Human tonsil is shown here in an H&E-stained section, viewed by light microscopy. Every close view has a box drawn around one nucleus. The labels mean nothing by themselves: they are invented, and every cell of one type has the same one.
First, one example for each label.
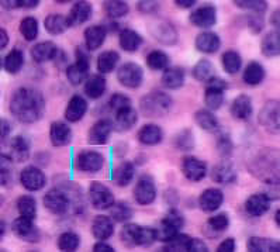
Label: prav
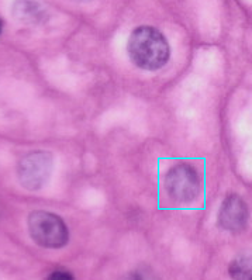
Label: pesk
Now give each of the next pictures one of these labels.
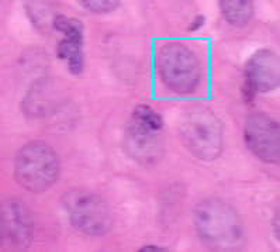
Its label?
pesk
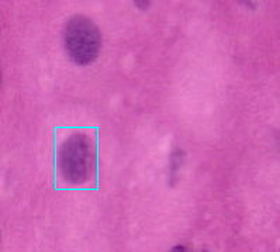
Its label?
pesk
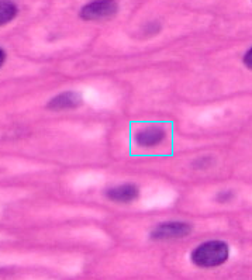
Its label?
pesk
